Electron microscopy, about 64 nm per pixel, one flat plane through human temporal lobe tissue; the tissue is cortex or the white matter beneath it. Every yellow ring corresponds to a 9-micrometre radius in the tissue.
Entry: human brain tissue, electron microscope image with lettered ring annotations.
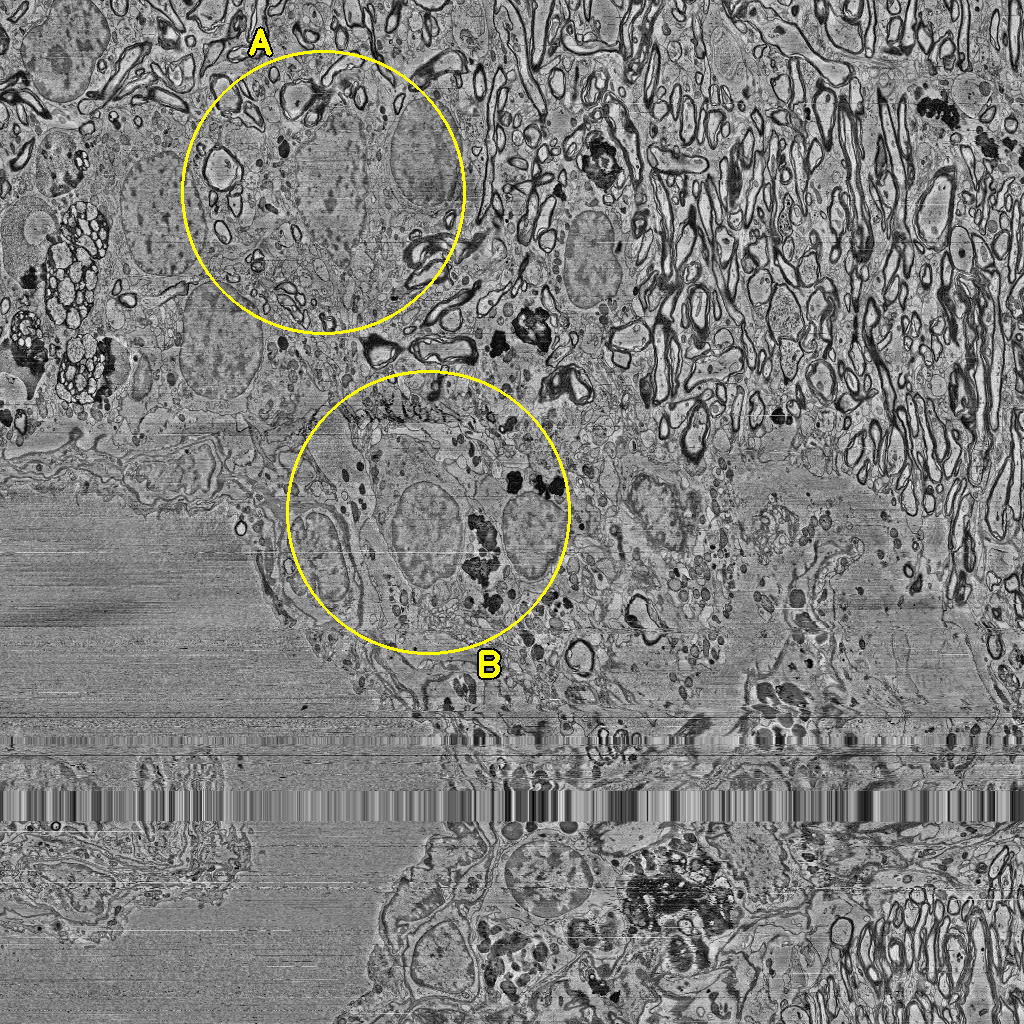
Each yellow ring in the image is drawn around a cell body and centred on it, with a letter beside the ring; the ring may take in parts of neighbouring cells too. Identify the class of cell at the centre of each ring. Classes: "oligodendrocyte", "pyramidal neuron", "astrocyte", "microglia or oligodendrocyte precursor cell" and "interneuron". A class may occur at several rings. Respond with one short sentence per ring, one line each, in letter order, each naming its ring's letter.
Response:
Ring A holds an astrocyte at its centre.
Ring B holds an oligodendrocyte at its centre.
